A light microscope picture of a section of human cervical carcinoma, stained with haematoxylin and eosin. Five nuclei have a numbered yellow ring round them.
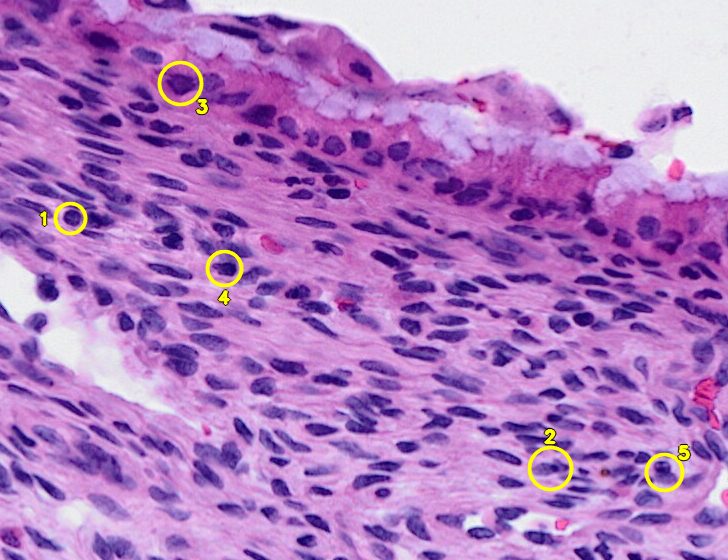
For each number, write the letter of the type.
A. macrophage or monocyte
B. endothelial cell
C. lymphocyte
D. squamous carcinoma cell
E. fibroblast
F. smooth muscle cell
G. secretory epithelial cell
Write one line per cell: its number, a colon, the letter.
1: C
2: E
3: G
4: C
5: C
